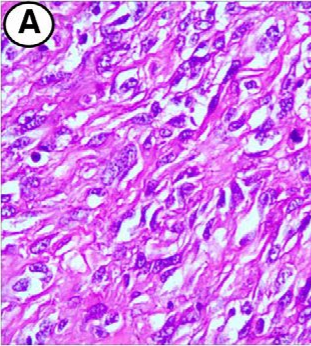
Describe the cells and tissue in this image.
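Osteoblastic osteosarcoma, with densely packed atypical tumour cells lying in bright pink eosinophilic matrix strands. The cells are spindle to polygonal, with large, pleomorphic, vesicular nuclei, many showing distinct nucleoli. Pale or clear spaces surround many cells, and the pink matrix forms an irregular, streaming network between them. No cartilage-like matrix with lacunae is seen.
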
